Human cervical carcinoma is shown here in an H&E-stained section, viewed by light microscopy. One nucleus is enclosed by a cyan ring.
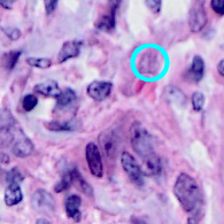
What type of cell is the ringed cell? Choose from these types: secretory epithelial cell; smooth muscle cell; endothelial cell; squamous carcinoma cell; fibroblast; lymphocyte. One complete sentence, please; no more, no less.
Recorded by type, the ringed cell is an endothelial cell.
